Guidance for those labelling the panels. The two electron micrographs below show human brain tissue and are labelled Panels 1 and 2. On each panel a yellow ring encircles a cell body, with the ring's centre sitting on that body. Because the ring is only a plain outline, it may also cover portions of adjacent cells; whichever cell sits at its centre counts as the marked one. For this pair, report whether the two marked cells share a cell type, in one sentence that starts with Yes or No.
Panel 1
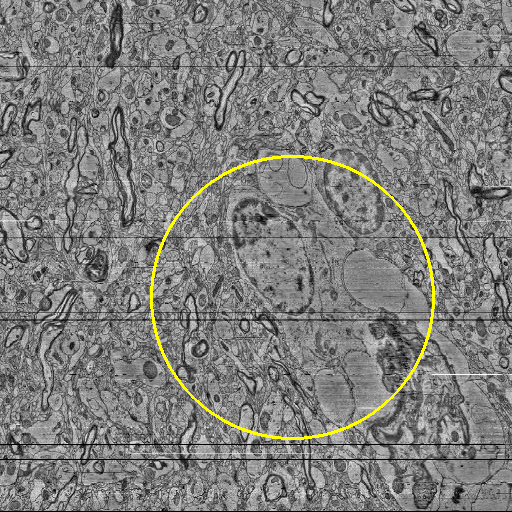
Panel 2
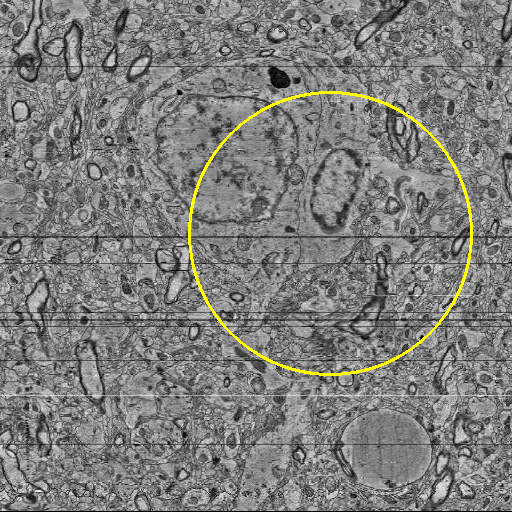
Yes, in Panel 1 and Panel 2 the marked cells at the ring centres share one type.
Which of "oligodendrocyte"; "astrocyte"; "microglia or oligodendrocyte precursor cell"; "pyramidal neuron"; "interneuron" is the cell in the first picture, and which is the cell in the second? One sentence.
In each picture the ringed cell is a microglial cell or oligodendrocyte precursor cell.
